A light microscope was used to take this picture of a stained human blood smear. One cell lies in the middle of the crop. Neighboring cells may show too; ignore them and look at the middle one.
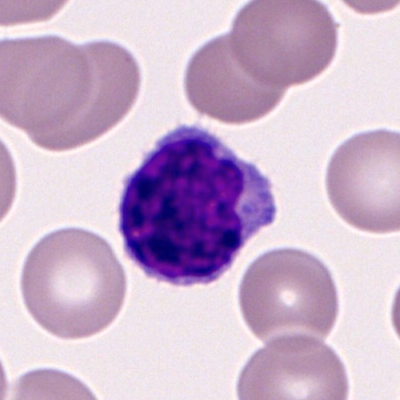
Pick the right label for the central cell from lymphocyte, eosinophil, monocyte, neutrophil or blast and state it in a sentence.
In the center of this field lies a lymphocyte.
